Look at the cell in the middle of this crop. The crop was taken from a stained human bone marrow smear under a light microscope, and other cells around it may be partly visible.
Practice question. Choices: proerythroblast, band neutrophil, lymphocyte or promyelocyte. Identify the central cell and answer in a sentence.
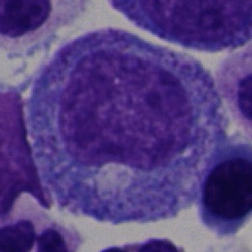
By type, the central cell of the crop is a promyelocyte.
